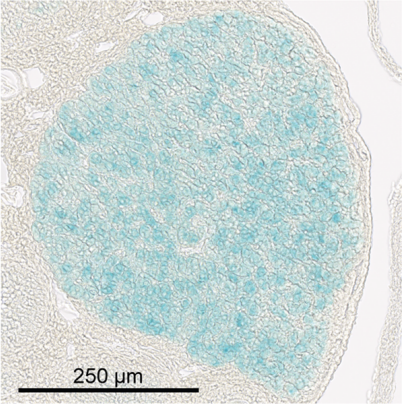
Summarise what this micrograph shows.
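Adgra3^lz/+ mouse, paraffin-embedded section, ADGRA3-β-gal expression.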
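This is a corpus luteum, a large rounded body made of tightly packed granulosa lutein cells. Blue granular stain is scattered through the cytoplasm of these cells across the whole mass. A thin rim of flattened, unstained tissue encircles the body and separates it from the surrounding ovarian tissue.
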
